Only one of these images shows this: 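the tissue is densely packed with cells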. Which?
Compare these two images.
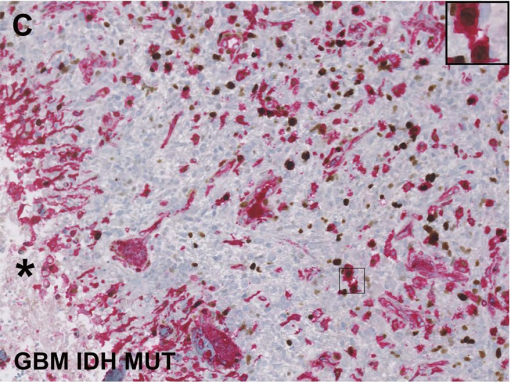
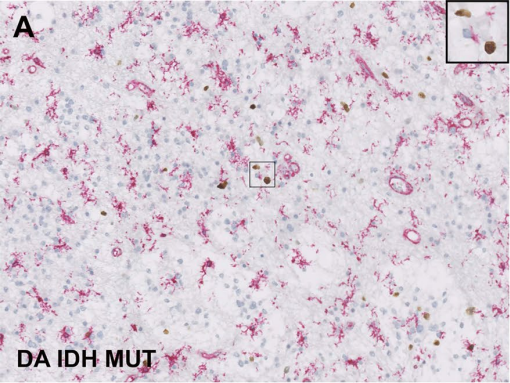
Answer: The first image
